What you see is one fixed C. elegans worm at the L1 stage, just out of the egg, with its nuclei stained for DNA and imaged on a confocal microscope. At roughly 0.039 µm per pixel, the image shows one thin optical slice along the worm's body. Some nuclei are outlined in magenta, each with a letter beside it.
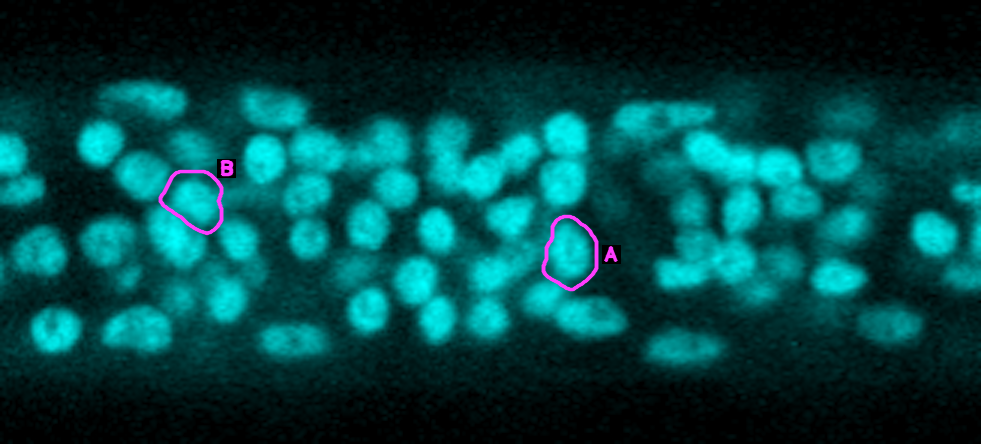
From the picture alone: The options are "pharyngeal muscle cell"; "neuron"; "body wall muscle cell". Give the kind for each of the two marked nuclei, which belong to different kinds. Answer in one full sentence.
B belongs to a pharyngeal muscle cell, and A to a neuron.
